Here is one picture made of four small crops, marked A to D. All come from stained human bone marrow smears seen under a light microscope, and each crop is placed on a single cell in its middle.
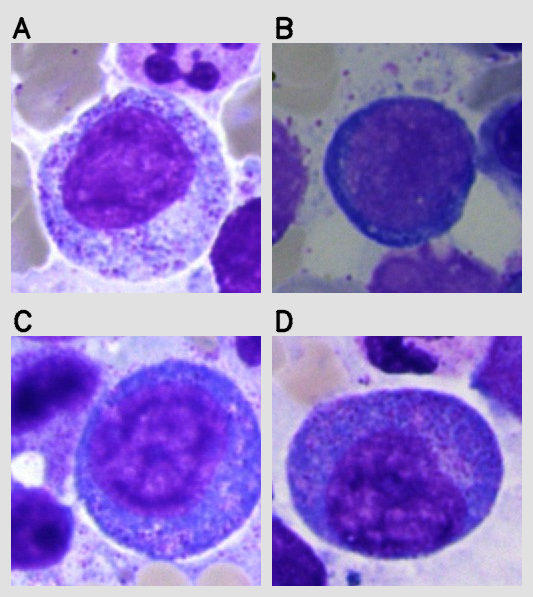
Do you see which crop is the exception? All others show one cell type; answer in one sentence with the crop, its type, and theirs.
The single exception is crop B, which is a proerythroblast; all other crops show promyelocytes.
